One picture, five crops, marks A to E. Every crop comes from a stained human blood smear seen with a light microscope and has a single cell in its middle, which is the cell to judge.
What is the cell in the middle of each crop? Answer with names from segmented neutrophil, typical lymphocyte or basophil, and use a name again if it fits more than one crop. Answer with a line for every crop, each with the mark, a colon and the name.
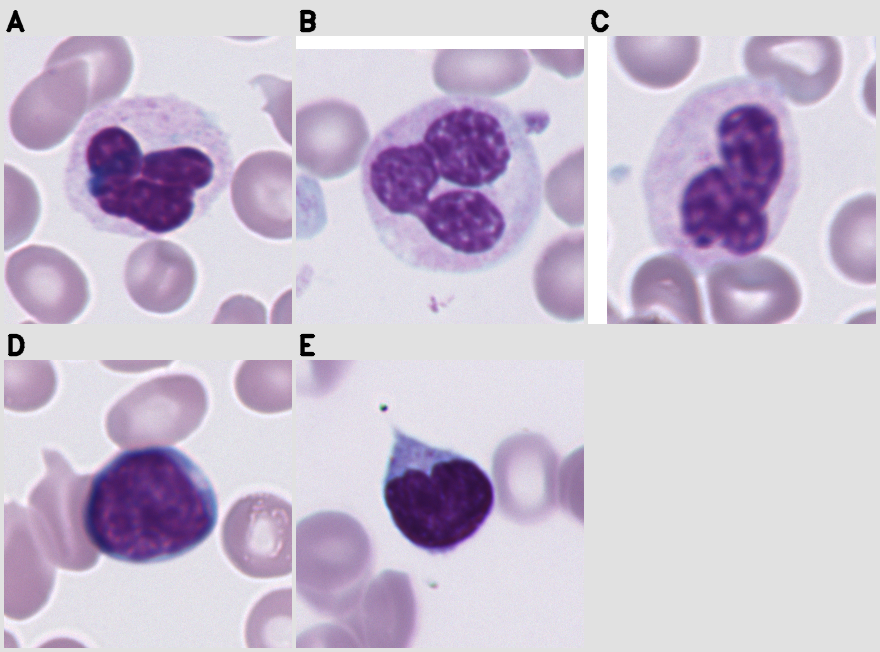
A: segmented neutrophil
B: segmented neutrophil
C: segmented neutrophil
D: typical lymphocyte
E: typical lymphocyte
